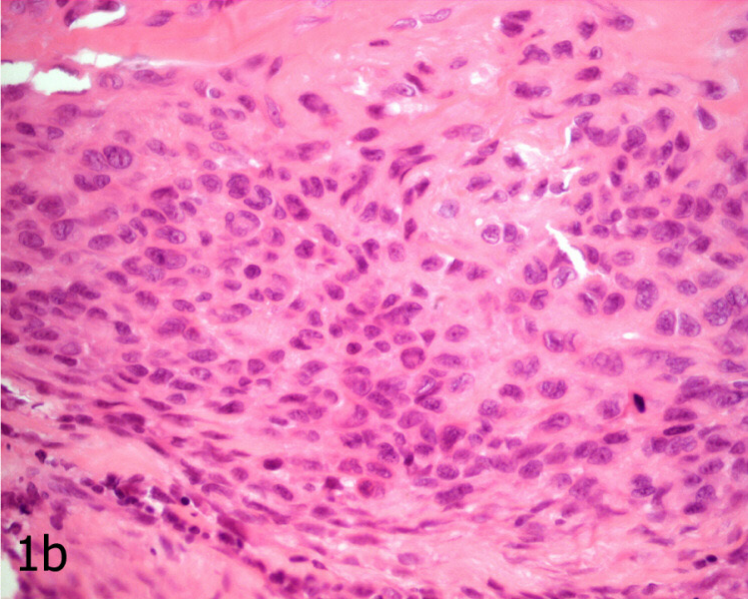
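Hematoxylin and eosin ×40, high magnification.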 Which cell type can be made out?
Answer: Epithelioid cells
